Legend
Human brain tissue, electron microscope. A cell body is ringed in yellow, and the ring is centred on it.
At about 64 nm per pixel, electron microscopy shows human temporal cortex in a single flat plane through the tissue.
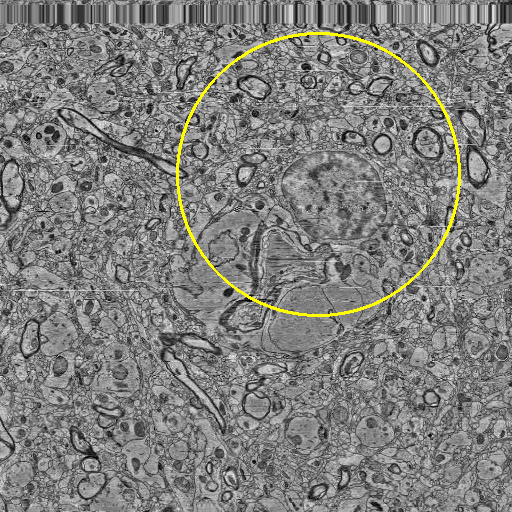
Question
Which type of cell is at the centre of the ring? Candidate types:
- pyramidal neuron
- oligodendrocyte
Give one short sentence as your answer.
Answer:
The yellow ring is centred here on an oligodendrocyte.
